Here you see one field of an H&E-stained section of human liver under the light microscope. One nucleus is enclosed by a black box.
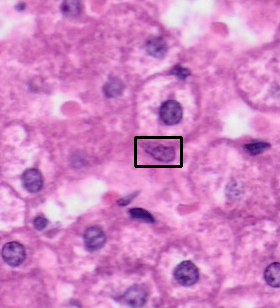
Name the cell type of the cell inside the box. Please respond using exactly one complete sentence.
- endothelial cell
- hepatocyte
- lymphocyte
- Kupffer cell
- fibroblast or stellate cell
It is as a Kupffer cell that the cell inside the box is recorded.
